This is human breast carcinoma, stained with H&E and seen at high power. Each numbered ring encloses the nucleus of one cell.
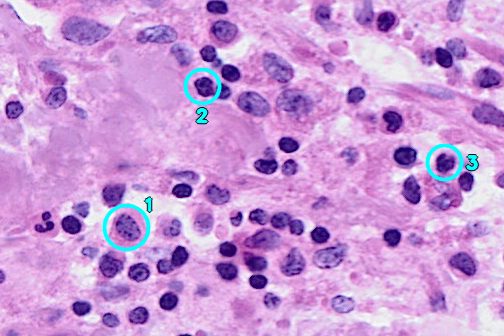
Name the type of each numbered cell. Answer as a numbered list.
1. mast cell
2. lymphocyte
3. lymphocyte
